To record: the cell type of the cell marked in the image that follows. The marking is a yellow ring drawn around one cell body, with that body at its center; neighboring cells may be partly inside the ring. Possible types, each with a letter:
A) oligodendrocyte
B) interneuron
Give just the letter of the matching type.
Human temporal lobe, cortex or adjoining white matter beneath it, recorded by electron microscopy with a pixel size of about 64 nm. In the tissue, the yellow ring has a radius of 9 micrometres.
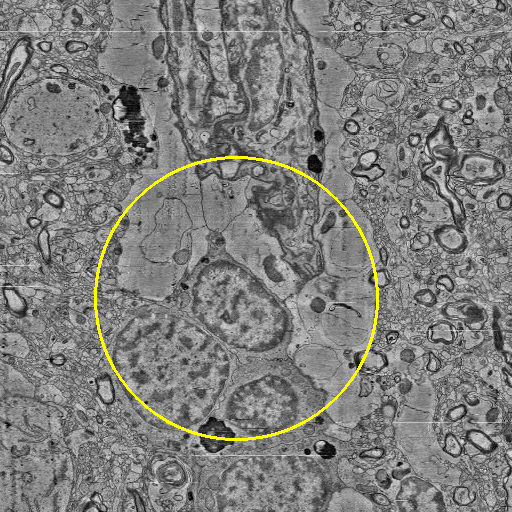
A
